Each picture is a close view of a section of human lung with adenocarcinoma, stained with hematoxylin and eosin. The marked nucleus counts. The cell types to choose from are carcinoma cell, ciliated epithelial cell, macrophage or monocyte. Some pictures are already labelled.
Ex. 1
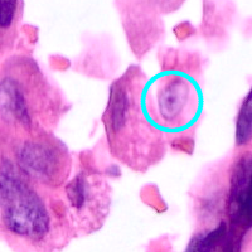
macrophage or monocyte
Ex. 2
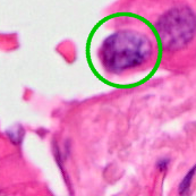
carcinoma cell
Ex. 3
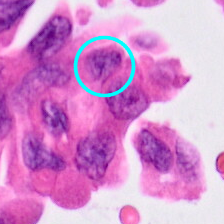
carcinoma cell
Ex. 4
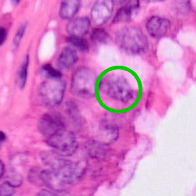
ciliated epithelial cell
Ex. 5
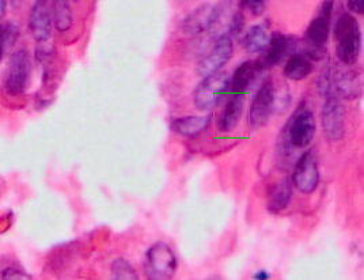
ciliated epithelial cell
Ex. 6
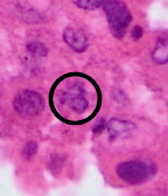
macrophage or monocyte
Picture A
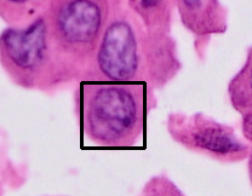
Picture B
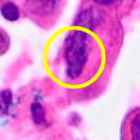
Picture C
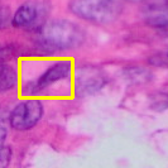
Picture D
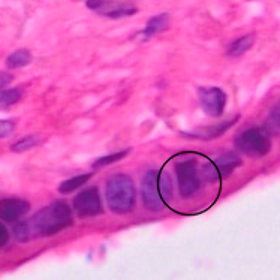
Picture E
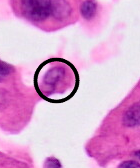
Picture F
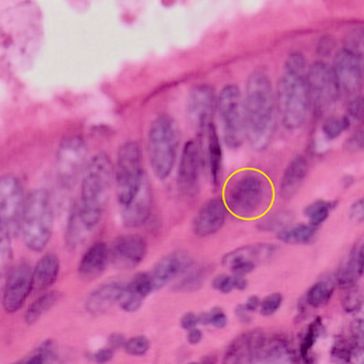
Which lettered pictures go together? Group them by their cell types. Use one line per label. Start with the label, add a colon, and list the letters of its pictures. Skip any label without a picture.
carcinoma cell: A, B
ciliated epithelial cell: C, D, F
macrophage or monocyte: E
